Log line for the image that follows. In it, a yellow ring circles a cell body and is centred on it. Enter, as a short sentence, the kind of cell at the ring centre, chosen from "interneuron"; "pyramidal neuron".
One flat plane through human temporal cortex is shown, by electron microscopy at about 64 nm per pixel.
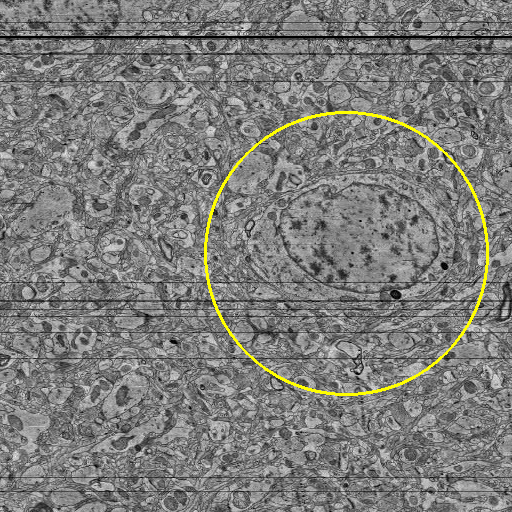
The ring centre is occupied by a pyramidal neuron.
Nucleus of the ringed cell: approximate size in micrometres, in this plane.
In this plane the nucleus spans approximately 10 by 7 micrometers.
